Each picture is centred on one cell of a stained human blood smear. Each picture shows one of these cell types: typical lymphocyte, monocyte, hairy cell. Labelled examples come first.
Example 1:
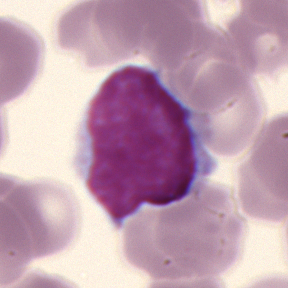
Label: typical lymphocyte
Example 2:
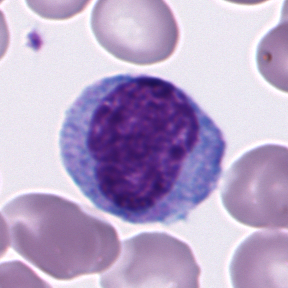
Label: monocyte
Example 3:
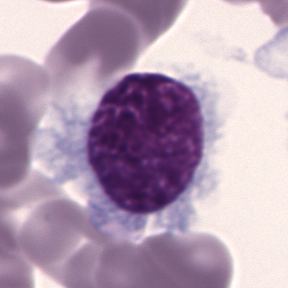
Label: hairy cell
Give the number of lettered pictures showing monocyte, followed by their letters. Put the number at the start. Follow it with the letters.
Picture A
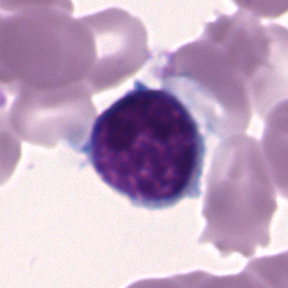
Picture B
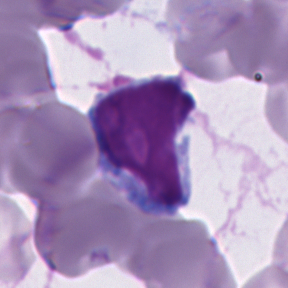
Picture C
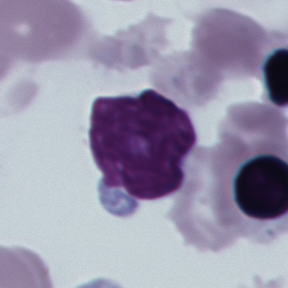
0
